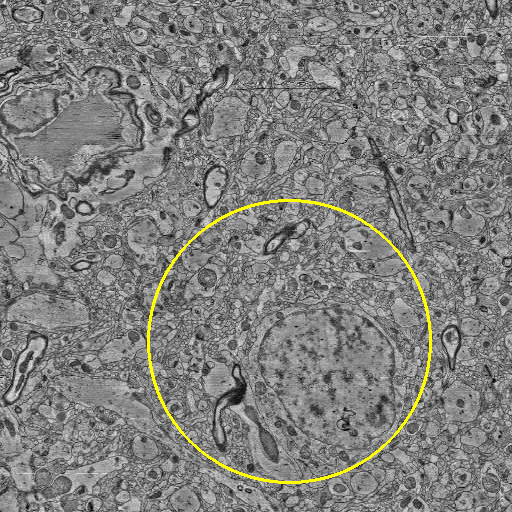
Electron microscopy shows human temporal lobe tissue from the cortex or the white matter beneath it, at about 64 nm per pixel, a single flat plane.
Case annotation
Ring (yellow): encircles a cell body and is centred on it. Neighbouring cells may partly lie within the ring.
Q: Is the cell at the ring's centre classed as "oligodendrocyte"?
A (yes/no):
no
